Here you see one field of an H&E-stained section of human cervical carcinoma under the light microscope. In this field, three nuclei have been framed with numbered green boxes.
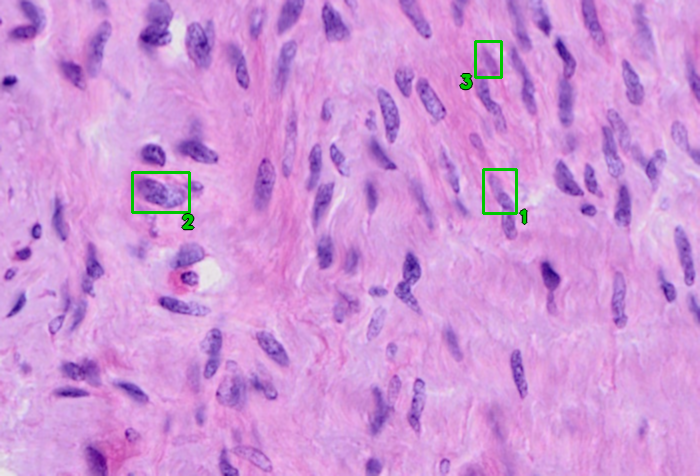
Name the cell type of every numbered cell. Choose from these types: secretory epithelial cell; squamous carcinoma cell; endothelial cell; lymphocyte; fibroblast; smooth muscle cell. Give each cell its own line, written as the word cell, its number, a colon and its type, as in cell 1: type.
cell 1: smooth muscle cell
cell 2: endothelial cell
cell 3: smooth muscle cell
